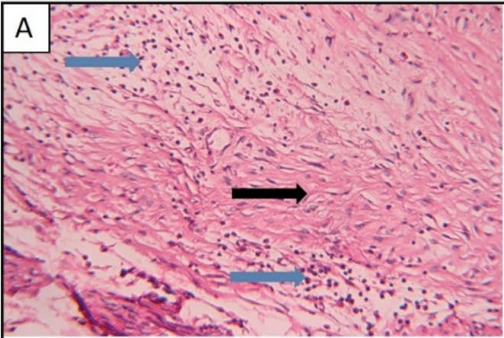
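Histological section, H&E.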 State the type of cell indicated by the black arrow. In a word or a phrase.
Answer: Fibroblasts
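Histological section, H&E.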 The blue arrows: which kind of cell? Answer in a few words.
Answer: inflammatory cells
